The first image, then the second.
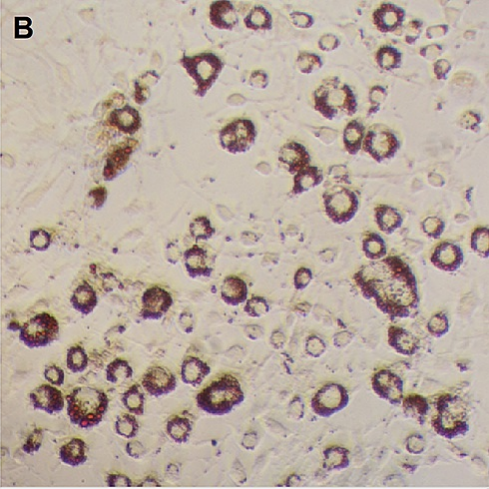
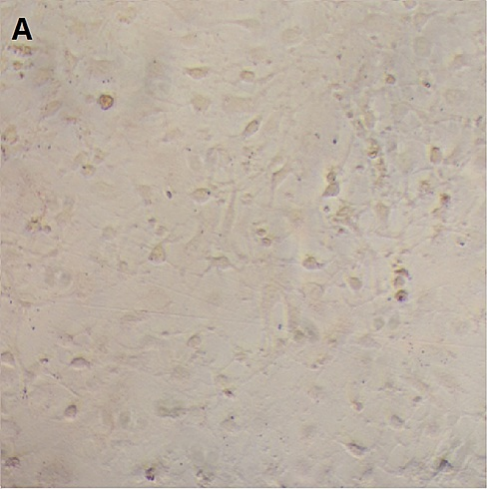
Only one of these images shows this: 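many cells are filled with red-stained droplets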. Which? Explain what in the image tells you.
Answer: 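First image: numerous rounded cells packed with dark red droplets. Second image: a pale sheet of flat cells with almost no red stain. So: the first image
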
